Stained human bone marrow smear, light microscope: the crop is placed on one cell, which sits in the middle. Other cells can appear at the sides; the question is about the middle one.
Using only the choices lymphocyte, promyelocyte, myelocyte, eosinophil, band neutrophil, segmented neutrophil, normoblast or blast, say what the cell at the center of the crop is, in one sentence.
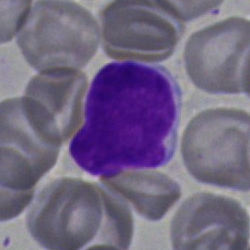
As for the central cell, it is a lymphocyte.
